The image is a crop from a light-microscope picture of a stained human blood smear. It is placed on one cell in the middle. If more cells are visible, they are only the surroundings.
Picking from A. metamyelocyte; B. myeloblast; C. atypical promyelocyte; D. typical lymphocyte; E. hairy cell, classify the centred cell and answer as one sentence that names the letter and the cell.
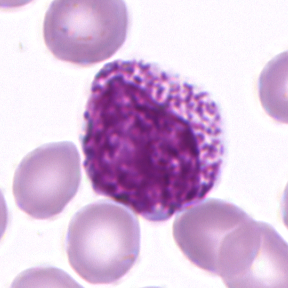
Of the choices given, option A is right, as the central cell is a metamyelocyte.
